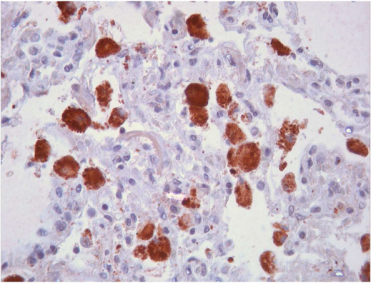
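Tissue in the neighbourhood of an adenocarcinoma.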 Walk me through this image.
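This field shows loose tissue with open air spaces in which many large, rounded macrophages lie free. Their abundant cytoplasm is packed with dark brown, somewhat granular stain that often hides the nucleus. They occur singly or in small clusters, some appearing to lie against the thin walls. The walls between the spaces consist of delicate tissue with small oval blue nuclei and little brown staining. The contrast between the intensely brown rounded cells and the pale surrounding walls is striking.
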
